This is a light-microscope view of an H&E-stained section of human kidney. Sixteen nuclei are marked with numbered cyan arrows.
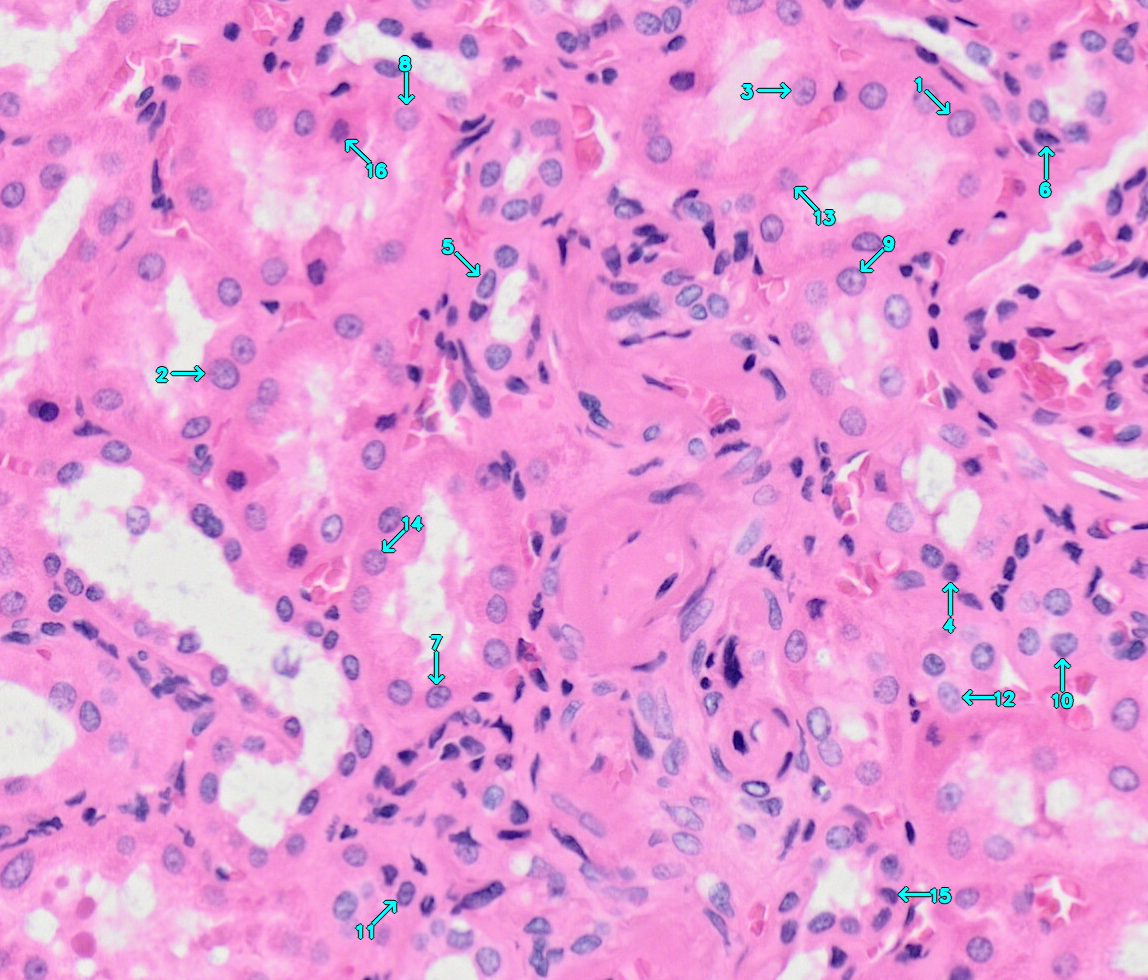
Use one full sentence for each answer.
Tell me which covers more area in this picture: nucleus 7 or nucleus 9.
At about 1.5 times the area of nucleus 7, nucleus 9 is the larger of the two.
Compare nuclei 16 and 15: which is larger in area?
The larger nucleus is 16, at roughly 2 times the area of 15.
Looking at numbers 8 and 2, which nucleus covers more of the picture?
Nucleus 2 is larger, with an area about 1.5 times that of nucleus 8.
